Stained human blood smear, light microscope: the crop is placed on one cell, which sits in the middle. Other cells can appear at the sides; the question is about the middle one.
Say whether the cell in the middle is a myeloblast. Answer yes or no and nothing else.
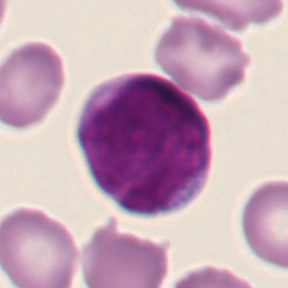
yes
